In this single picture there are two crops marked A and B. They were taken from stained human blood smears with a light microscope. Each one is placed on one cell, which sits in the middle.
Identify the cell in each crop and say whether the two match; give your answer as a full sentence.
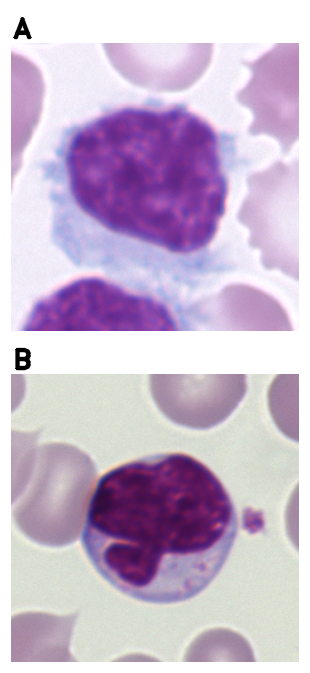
No, crop A offers a hairy cell, while crop B offers a large granular lymphocyte.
